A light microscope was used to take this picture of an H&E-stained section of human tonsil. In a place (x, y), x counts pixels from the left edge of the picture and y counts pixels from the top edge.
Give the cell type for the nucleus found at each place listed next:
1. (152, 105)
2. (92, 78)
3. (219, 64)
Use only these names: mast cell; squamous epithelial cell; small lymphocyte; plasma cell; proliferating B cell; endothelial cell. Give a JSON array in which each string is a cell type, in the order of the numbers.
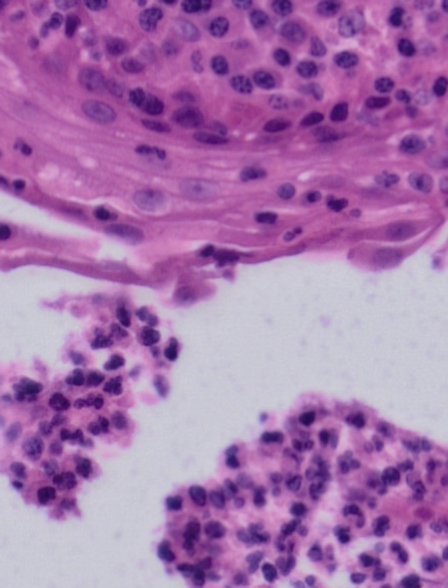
["squamous epithelial cell", "squamous epithelial cell", "plasma cell"]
